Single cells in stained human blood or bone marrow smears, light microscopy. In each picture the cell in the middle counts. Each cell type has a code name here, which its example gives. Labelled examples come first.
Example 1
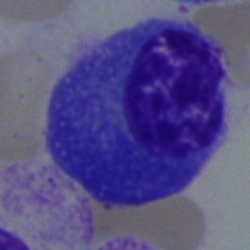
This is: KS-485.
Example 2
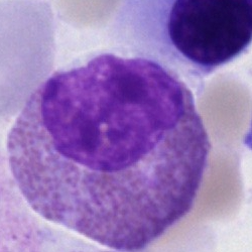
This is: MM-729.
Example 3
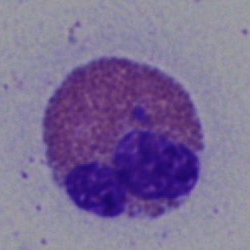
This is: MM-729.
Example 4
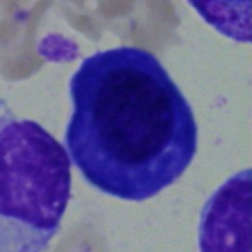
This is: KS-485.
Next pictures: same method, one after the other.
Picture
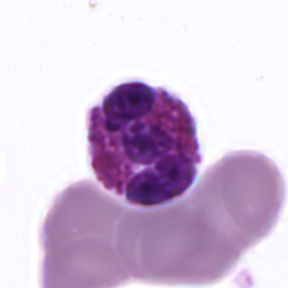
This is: MM-729.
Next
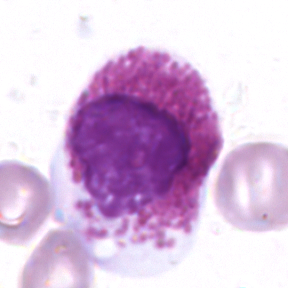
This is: MM-729.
